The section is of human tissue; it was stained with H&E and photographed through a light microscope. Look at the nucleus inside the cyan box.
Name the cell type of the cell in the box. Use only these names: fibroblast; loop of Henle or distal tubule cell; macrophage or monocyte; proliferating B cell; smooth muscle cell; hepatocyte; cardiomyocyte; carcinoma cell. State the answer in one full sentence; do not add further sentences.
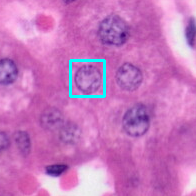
In cellular terms, the cell in the box is a hepatocyte.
